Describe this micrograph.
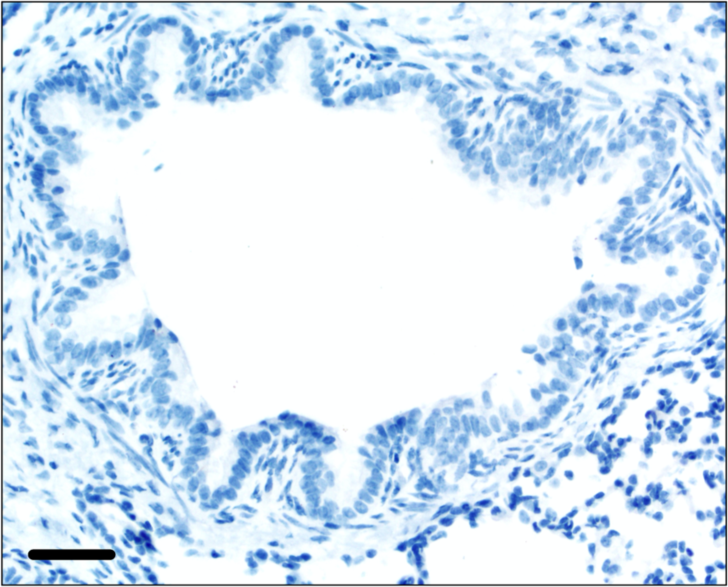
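This section shows a small airway in cross-section, lined by epithelium thrown into folds around an open lumen. The lining cells are columnar to cuboidal with oval blue nuclei, crowded in a low layer. No cell in the epithelium is stained brown. Around the epithelium lies a band of spindle-shaped cells with elongated nuclei, and beyond it more loosely arranged tissue with many small dark nuclei.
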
